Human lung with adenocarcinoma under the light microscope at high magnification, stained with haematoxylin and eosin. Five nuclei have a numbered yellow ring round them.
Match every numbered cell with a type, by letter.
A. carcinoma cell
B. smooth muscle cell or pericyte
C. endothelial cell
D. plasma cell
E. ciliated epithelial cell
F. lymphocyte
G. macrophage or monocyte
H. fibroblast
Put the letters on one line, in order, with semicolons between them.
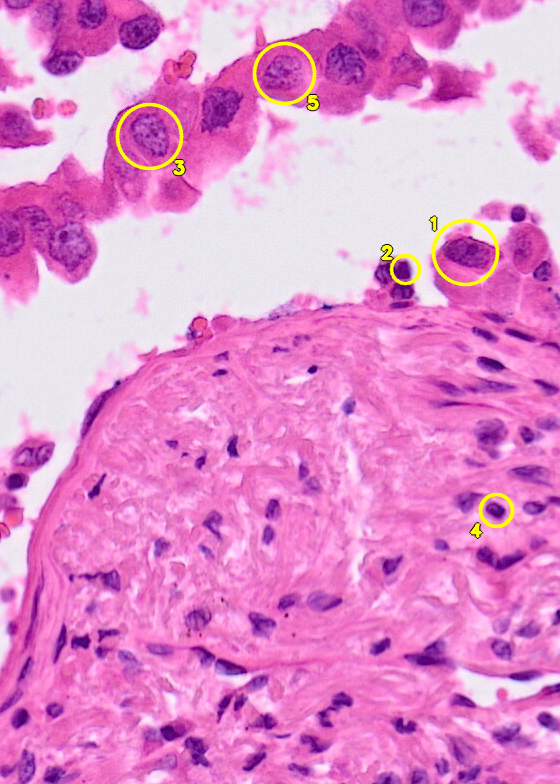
A; F; A; F; A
